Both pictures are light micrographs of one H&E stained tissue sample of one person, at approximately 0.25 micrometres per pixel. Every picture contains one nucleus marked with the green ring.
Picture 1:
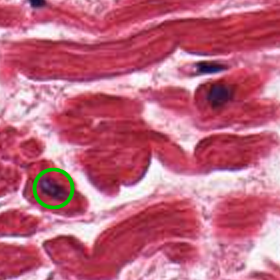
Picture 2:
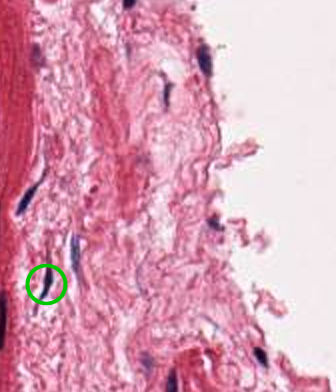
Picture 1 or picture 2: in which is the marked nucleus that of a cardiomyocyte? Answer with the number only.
1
